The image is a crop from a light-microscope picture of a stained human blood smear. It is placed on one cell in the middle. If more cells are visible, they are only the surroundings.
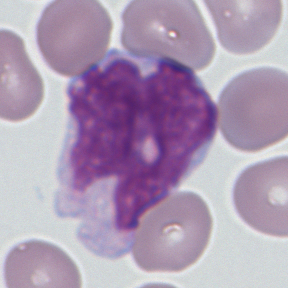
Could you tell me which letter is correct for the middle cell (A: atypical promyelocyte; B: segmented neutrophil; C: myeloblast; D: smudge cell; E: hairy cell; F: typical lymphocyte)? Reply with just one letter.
A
